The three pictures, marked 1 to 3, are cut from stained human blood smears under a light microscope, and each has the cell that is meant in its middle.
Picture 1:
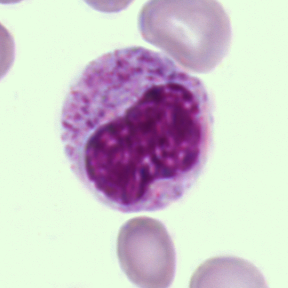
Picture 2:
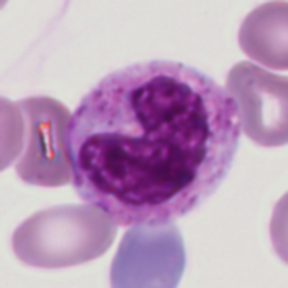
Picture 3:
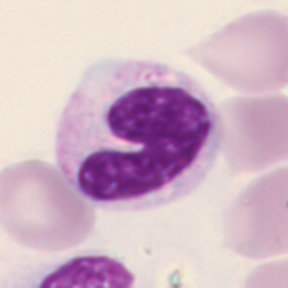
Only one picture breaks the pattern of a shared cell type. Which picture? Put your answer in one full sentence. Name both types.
Unlike the rest, which show metamyelocytes, picture 3 shows a band neutrophil.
